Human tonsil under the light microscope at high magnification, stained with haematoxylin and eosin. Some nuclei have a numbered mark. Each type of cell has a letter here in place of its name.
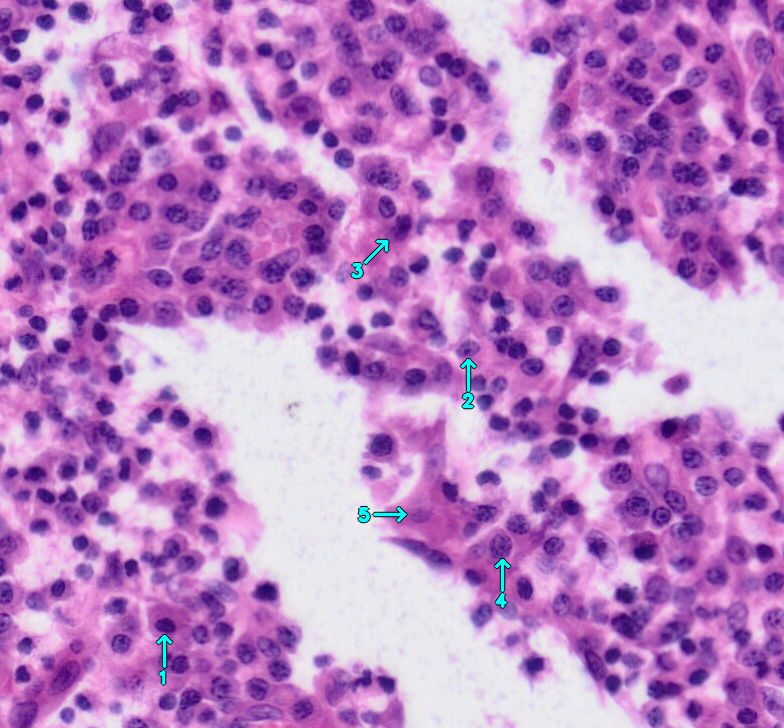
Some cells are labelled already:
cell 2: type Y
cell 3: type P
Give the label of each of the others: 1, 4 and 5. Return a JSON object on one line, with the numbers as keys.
{"1": "type Y", "4": "type Y", "5": "type P"}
